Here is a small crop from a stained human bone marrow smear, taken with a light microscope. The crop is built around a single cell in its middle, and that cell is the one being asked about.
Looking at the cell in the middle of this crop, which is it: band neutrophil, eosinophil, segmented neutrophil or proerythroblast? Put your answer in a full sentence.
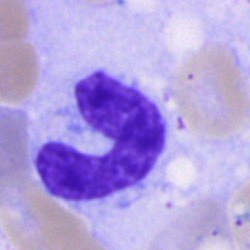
Classification of the middle cell gives a band neutrophil.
